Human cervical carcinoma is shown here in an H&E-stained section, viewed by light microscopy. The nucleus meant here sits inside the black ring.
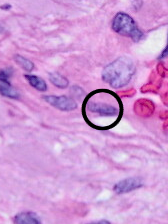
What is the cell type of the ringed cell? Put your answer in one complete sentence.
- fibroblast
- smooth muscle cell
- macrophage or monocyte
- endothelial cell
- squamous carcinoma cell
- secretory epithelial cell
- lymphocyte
The ringed cell is an endothelial cell.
